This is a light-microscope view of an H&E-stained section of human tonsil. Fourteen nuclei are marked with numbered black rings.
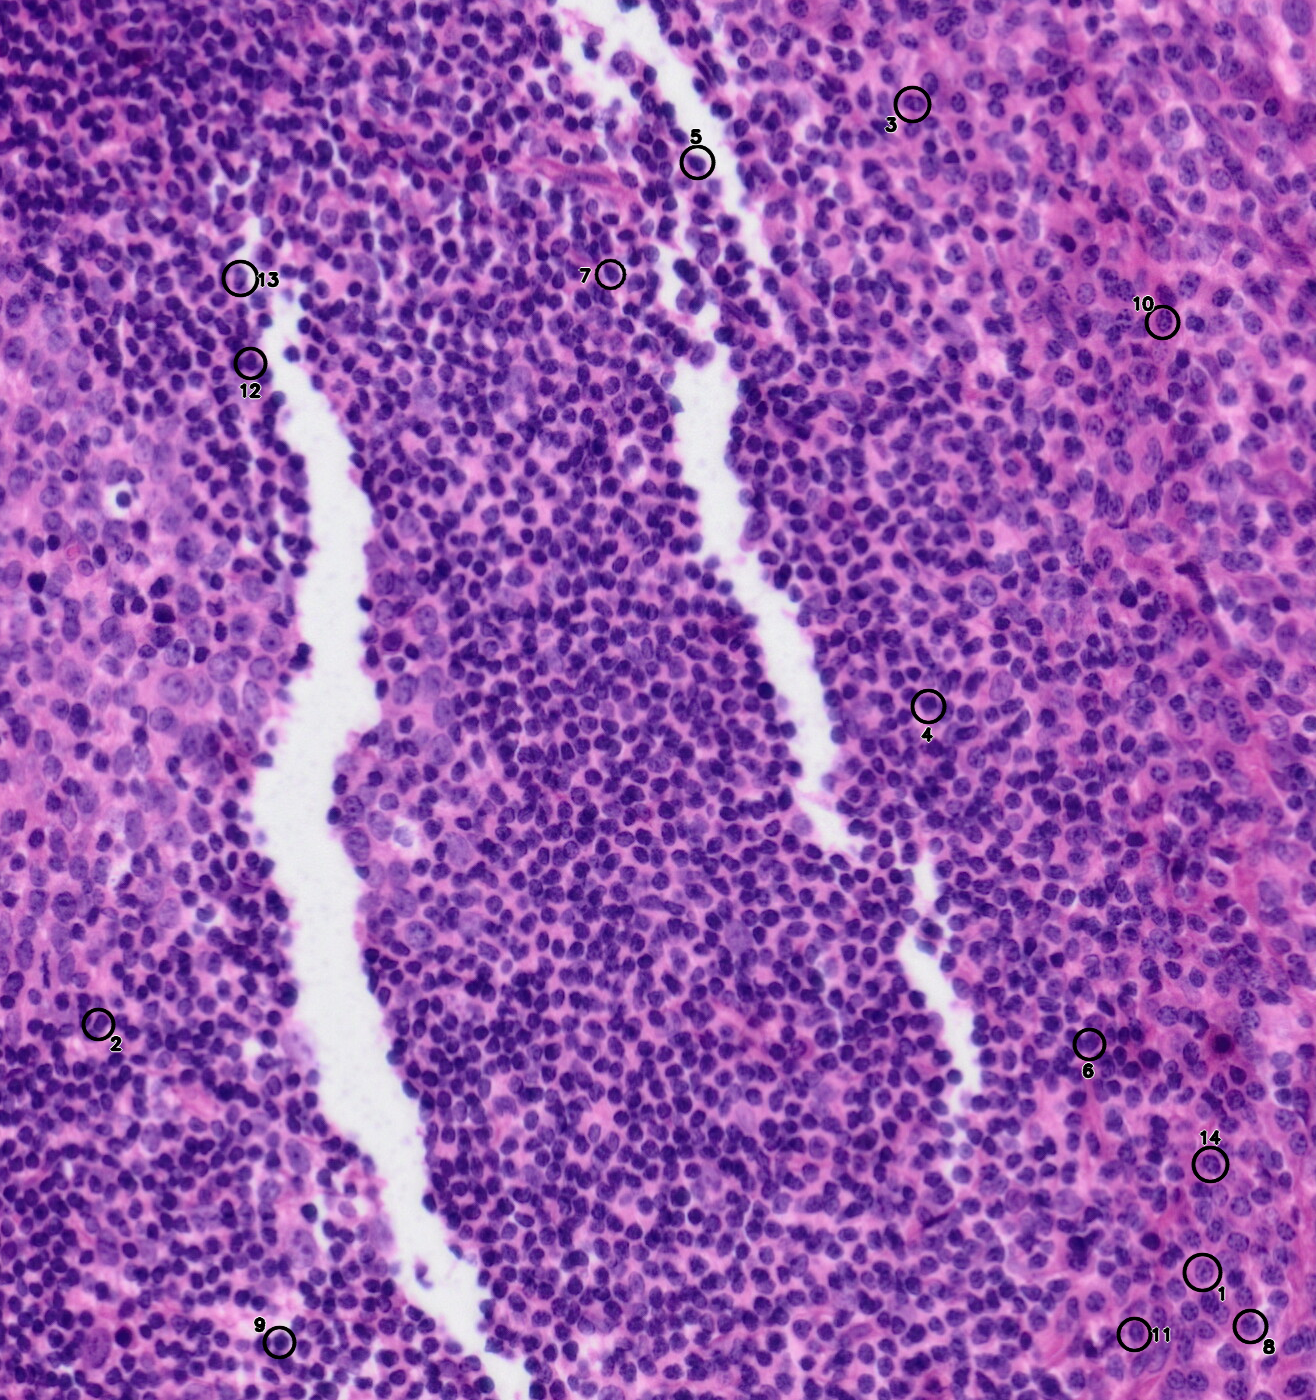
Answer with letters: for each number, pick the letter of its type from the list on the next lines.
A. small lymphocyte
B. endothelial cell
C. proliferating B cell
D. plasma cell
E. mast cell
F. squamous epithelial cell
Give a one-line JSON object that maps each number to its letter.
{"1": "D", "2": "A", "3": "D", "4": "A", "5": "A", "6": "A", "7": "A", "8": "D", "9": "A", "10": "D", "11": "D", "12": "A", "13": "A", "14": "D"}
